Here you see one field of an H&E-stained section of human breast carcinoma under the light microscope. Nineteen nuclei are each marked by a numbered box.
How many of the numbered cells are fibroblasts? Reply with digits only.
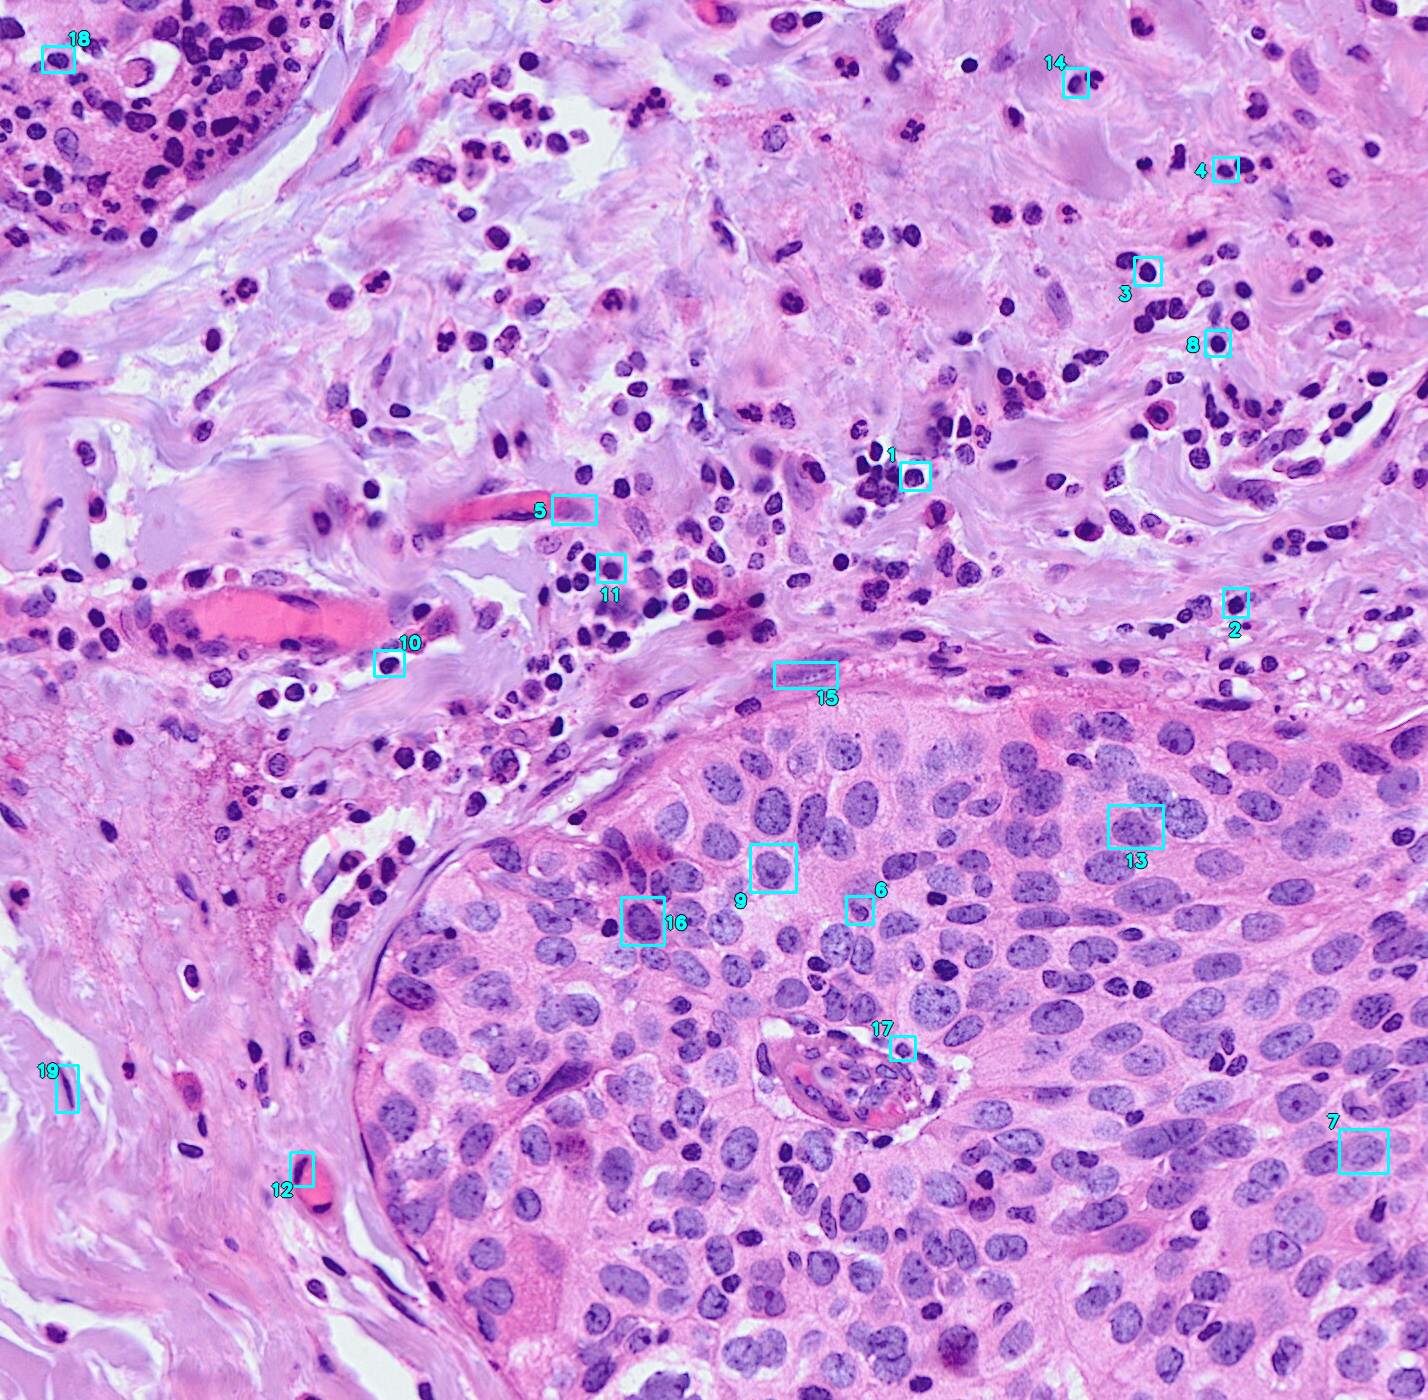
1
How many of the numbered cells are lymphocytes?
10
